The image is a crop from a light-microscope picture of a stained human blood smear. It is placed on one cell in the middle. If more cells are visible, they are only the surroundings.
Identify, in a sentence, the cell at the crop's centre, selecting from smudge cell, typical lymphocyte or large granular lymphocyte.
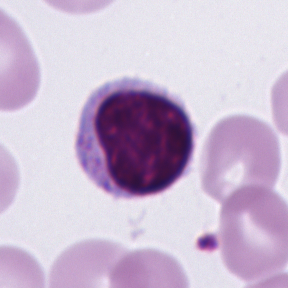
In short, the cell at the center is a large granular lymphocyte.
